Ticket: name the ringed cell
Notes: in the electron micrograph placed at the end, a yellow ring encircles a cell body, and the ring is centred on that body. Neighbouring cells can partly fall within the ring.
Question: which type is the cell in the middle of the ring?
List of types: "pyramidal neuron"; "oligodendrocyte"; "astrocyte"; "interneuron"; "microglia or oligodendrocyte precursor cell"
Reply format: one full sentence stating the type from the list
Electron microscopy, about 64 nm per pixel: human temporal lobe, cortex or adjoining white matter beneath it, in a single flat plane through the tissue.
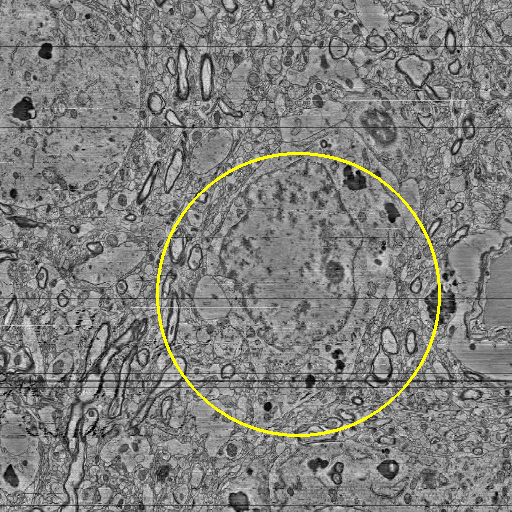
The cell sitting at the centre of the yellow ring is an interneuron.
